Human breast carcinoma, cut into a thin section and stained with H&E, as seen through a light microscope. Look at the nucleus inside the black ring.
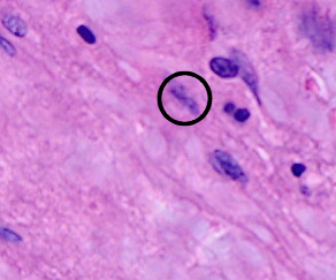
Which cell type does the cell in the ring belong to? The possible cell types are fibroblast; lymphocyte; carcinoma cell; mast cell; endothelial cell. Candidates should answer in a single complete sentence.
Histopathologically, the cell in the ring is a fibroblast.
